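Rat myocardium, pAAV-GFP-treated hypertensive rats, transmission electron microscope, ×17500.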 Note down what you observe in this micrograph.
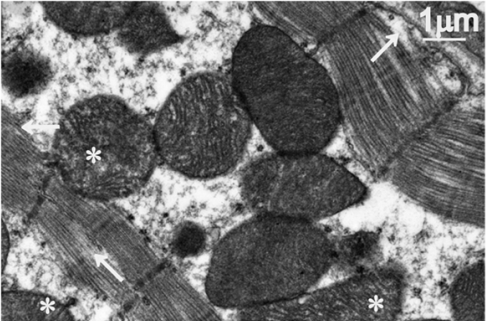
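Cardiac muscle at high magnification shows large rounded mitochondria lying loose in a wide pale, flocculent space. Striated myofilament bundles at the edges run at differing angles and are separated from each other, so the orderly array of myofibrils is lost.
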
